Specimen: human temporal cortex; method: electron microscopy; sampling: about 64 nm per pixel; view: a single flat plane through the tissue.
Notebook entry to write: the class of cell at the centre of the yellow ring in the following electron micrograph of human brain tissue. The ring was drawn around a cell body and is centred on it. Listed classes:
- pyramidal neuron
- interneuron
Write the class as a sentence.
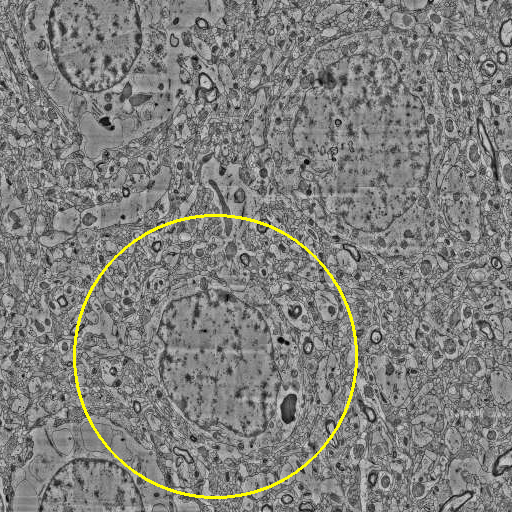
The yellow ring sits on an interneuron.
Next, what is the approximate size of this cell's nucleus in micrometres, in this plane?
The nucleus is approximately 10 micrometers long by 8 micrometers wide in this plane.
